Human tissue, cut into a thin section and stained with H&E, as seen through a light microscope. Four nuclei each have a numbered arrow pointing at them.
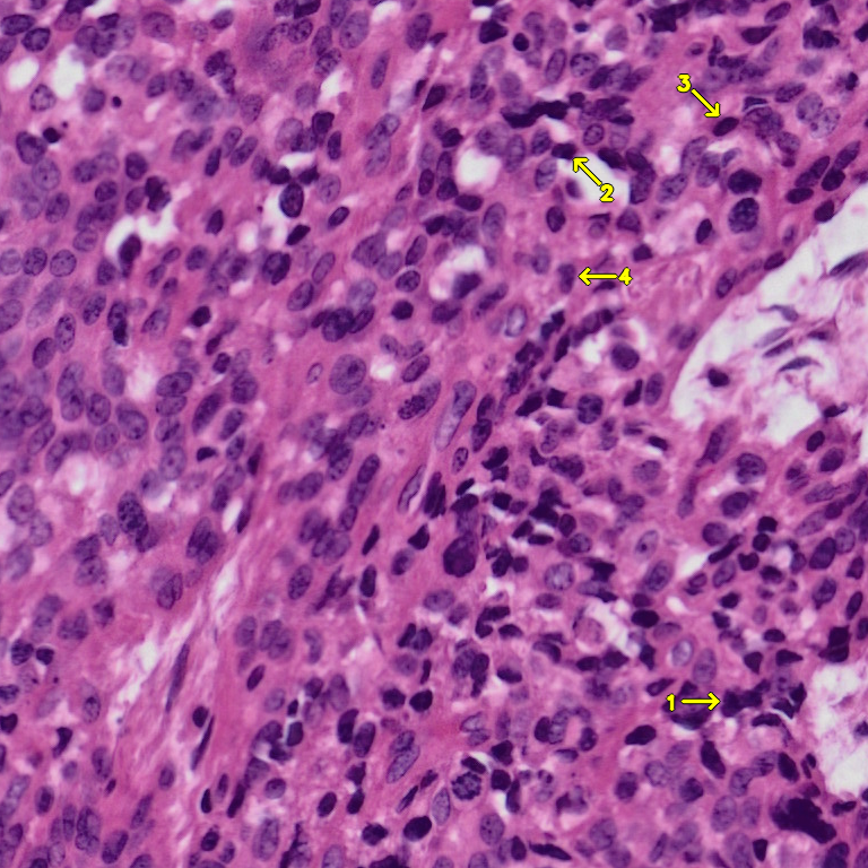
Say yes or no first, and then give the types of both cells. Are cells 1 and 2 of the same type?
Yes, the pair of cells 1 and 2 are both carcinoma cells.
